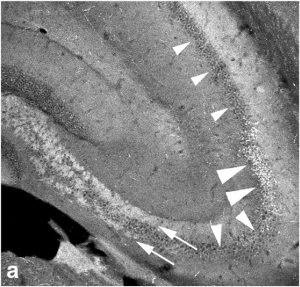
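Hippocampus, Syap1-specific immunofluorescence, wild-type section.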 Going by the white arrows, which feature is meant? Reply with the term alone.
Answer: Mossy fiber pathways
